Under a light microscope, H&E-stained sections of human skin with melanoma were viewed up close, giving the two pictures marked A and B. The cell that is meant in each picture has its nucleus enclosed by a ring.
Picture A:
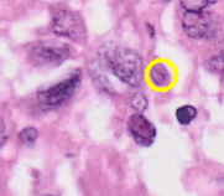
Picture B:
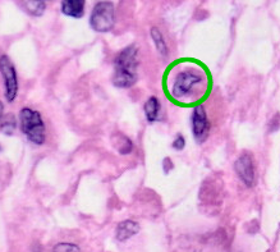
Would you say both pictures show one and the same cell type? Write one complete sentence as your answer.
Yes, they are the same type: both are “macrophages or monocytes”.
